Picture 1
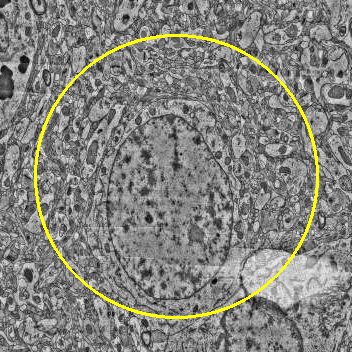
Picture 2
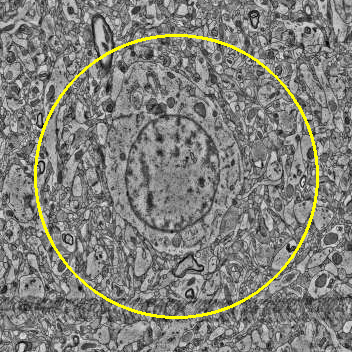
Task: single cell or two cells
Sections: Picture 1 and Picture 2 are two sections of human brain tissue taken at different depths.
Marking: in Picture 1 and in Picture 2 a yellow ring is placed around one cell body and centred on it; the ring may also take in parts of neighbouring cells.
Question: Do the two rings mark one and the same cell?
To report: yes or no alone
no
